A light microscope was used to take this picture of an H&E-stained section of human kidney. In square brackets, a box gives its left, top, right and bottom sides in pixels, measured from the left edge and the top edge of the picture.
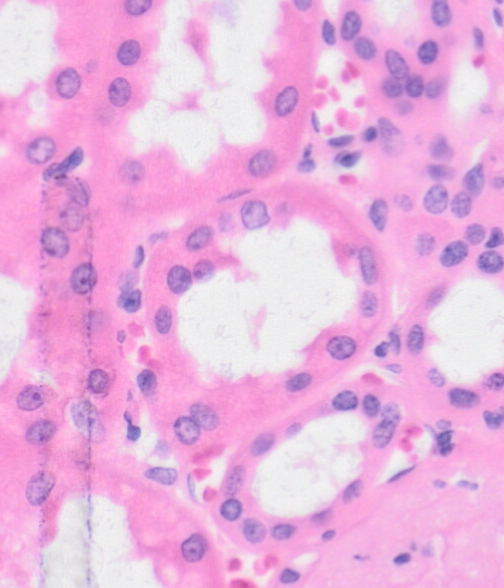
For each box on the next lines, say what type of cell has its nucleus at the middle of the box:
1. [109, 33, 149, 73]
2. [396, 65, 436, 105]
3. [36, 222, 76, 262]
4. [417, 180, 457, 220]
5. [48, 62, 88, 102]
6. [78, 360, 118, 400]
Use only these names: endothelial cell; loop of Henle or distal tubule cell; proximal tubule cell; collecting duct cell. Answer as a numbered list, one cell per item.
1. proximal tubule cell
2. collecting duct cell
3. proximal tubule cell
4. collecting duct cell
5. proximal tubule cell
6. proximal tubule cell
